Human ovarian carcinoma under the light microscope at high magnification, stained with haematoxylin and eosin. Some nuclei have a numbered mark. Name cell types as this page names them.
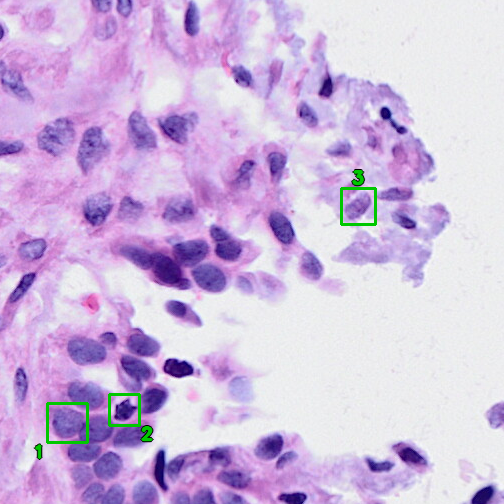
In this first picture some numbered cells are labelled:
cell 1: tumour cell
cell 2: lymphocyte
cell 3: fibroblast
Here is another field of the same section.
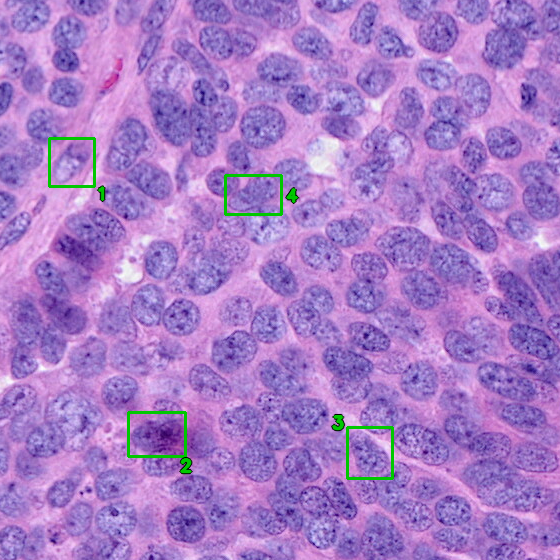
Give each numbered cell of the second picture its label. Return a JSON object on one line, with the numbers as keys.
{"1": "fibroblast", "2": "tumour cell", "3": "tumour cell", "4": "tumour cell"}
